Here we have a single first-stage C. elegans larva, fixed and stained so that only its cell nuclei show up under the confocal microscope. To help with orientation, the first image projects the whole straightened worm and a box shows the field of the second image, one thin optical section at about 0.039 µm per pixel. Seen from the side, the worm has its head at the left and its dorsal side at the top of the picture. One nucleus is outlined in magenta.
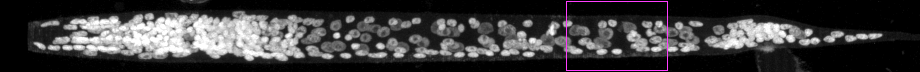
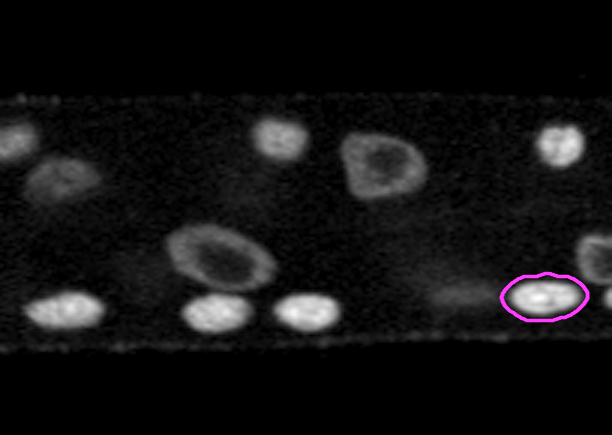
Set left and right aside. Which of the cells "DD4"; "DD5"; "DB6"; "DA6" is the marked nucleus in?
DD5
